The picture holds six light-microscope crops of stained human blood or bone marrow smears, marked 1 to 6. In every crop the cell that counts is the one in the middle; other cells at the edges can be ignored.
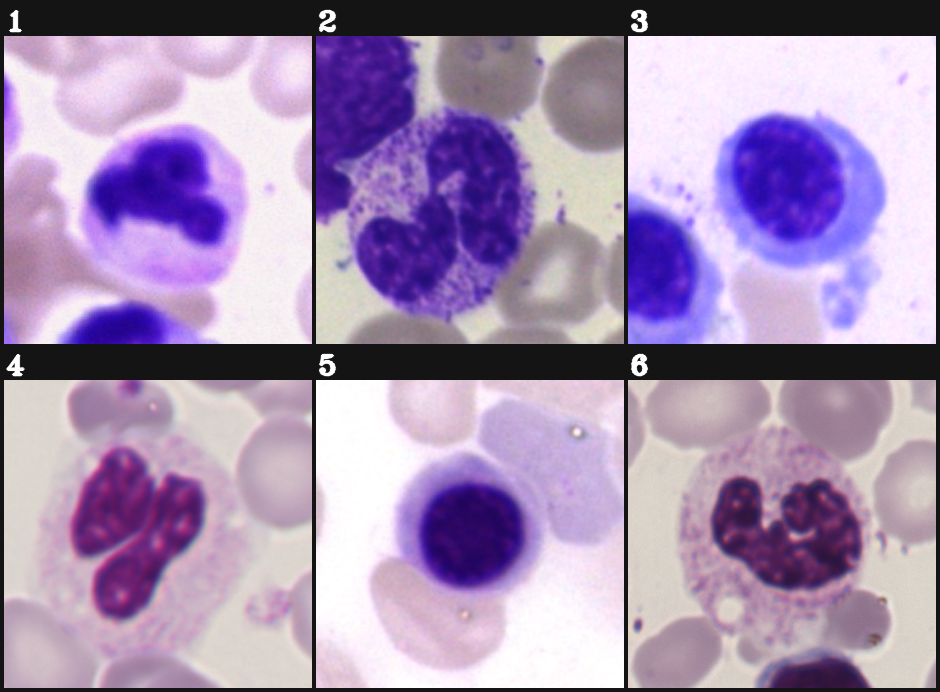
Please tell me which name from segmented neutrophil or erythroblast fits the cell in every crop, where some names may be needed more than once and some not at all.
1: segmented neutrophil
2: segmented neutrophil
3: erythroblast
4: segmented neutrophil
5: erythroblast
6: segmented neutrophil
